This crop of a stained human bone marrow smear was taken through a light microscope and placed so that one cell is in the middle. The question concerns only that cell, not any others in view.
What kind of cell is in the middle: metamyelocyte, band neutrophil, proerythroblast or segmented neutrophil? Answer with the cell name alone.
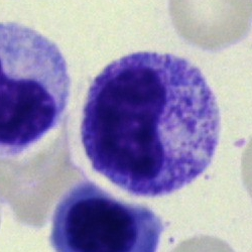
metamyelocyte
